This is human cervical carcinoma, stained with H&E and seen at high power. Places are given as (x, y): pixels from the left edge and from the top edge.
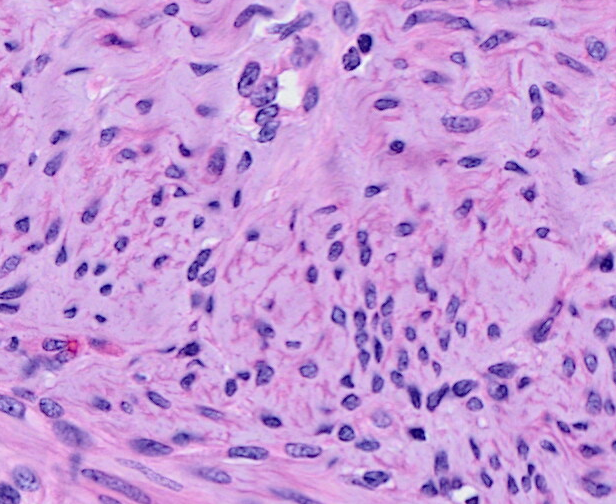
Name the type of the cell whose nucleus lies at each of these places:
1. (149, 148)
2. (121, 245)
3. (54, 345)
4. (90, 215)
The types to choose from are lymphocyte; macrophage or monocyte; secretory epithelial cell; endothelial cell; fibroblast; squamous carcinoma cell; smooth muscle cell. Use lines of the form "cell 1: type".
cell 1: smooth muscle cell
cell 2: smooth muscle cell
cell 3: endothelial cell
cell 4: smooth muscle cell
